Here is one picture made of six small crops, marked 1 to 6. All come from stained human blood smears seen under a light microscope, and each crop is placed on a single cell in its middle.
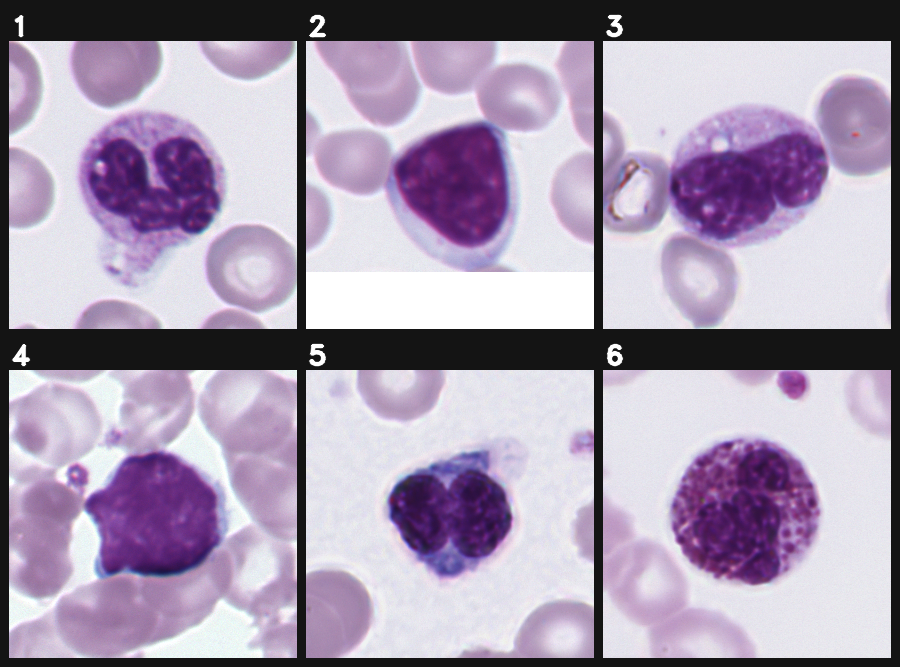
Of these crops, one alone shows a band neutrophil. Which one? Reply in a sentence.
The crop in which a band neutrophil is shown is crop 3.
